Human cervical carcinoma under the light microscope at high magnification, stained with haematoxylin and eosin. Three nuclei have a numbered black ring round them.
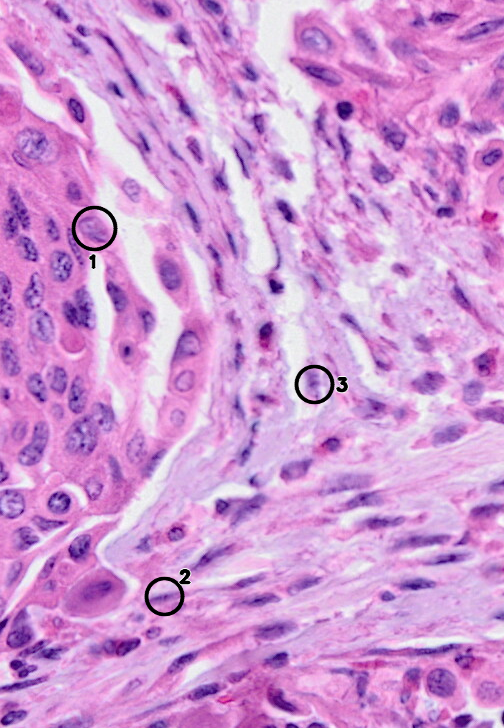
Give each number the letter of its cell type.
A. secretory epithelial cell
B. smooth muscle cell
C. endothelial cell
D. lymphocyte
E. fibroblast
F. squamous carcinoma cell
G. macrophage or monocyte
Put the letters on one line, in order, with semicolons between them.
F; E; E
